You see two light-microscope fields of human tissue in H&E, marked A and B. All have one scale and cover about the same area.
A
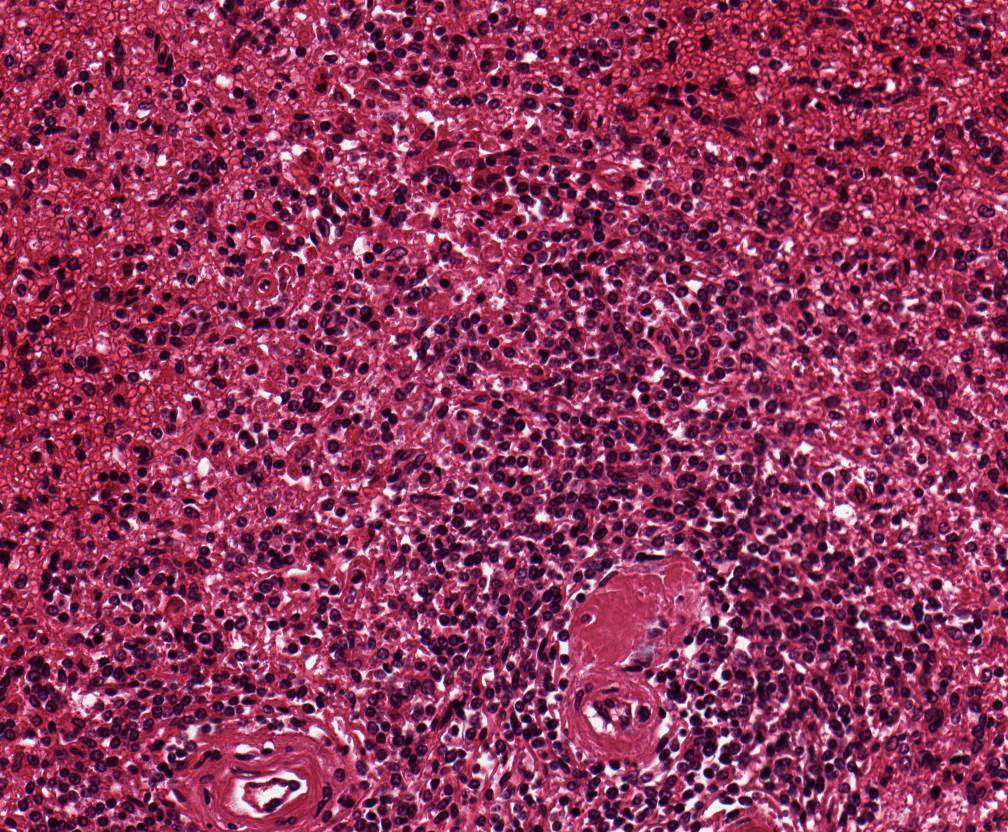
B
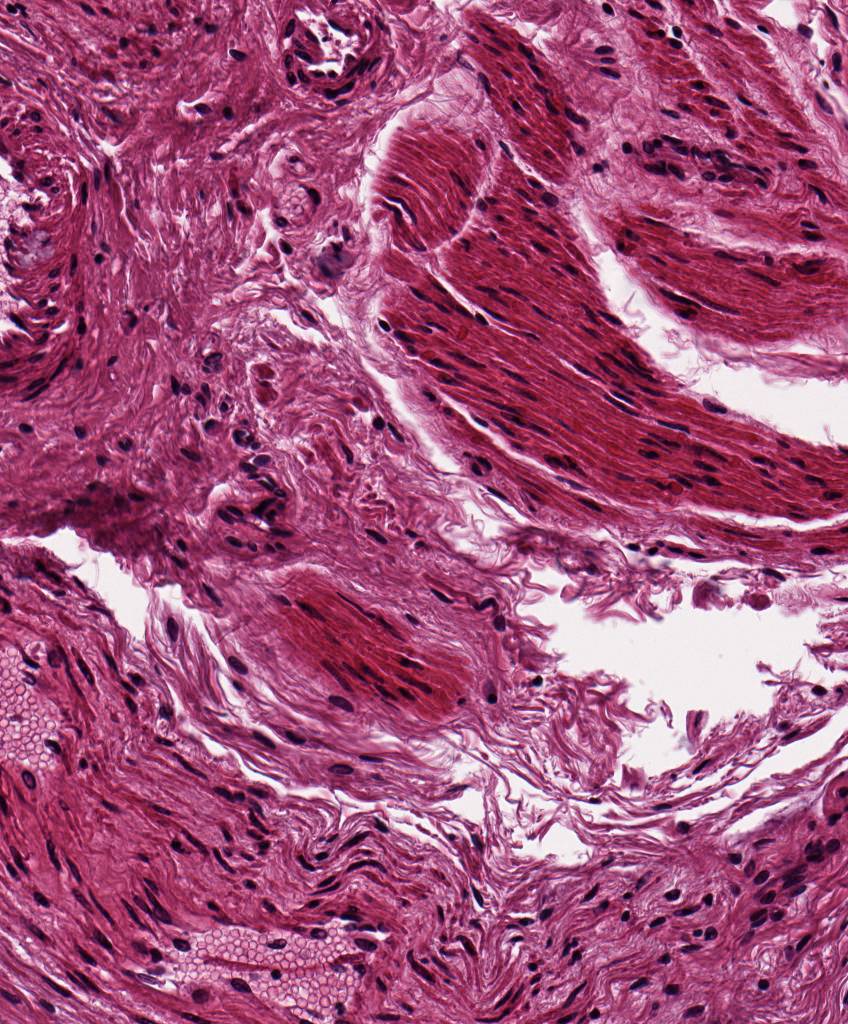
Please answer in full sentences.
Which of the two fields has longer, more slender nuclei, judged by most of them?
It is field B whose nuclei are the more elongated.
